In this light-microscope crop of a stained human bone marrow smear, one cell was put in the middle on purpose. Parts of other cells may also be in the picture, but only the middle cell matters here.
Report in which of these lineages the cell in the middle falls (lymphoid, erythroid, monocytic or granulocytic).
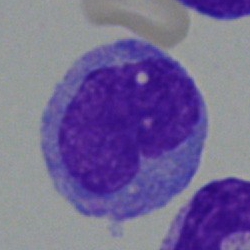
monocytic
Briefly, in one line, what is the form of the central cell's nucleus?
See how the nucleus sits as one compact round, oval or kidney-shaped mass.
